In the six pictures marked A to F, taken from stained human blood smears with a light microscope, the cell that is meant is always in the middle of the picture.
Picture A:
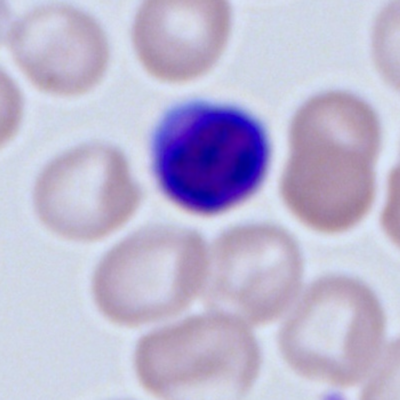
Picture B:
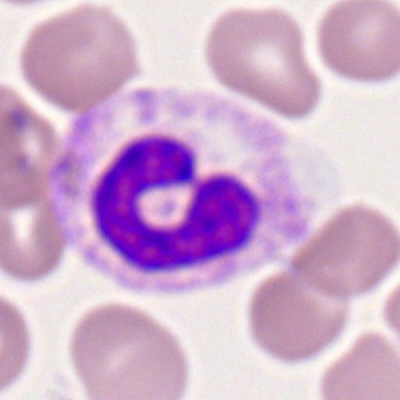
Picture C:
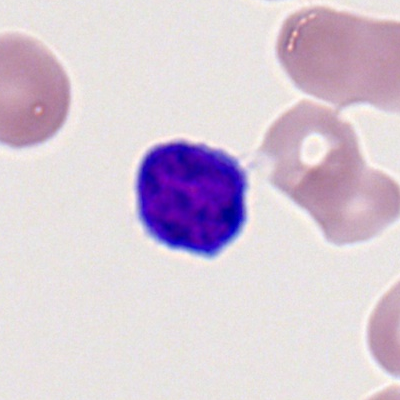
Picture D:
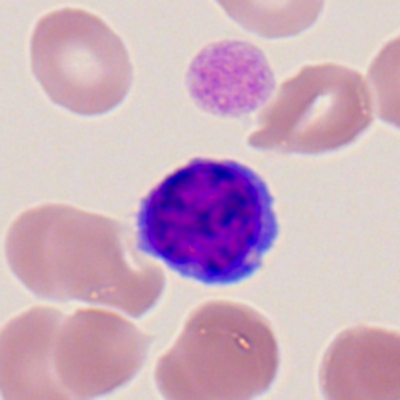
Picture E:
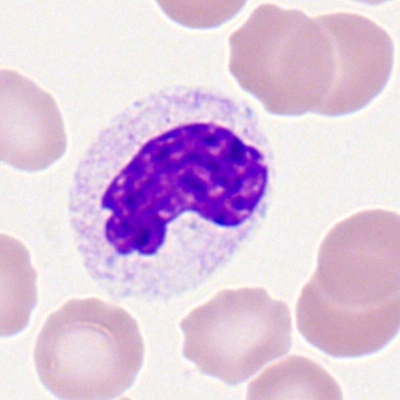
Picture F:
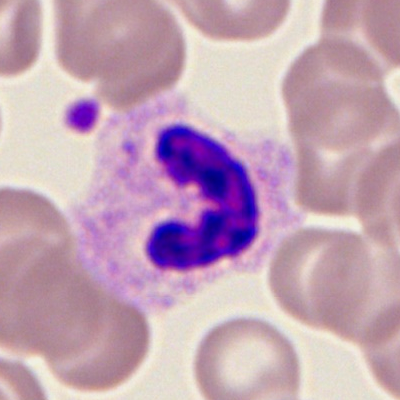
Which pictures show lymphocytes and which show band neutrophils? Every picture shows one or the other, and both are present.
A: lymphocyte
B: band neutrophil
C: lymphocyte
D: lymphocyte
E: band neutrophil
F: band neutrophil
